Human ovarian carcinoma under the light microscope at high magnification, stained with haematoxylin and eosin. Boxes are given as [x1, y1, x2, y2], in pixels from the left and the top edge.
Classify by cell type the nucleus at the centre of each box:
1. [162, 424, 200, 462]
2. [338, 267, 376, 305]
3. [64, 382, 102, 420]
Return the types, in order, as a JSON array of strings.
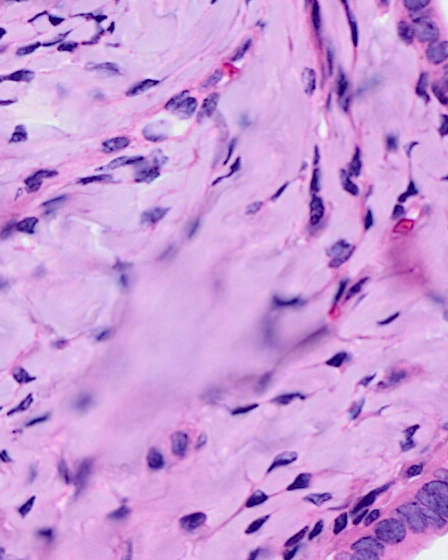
["endothelial cell", "endothelial cell", "fibroblast"]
